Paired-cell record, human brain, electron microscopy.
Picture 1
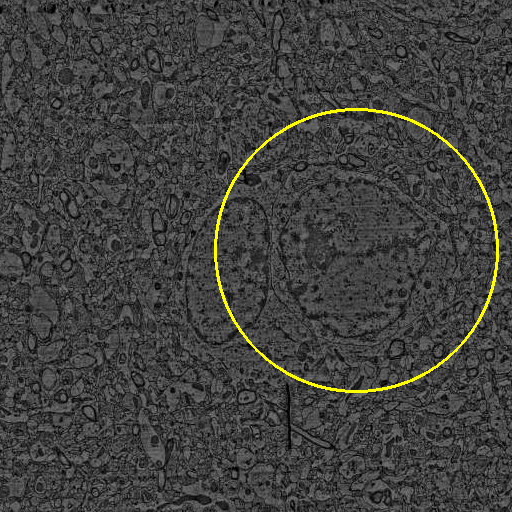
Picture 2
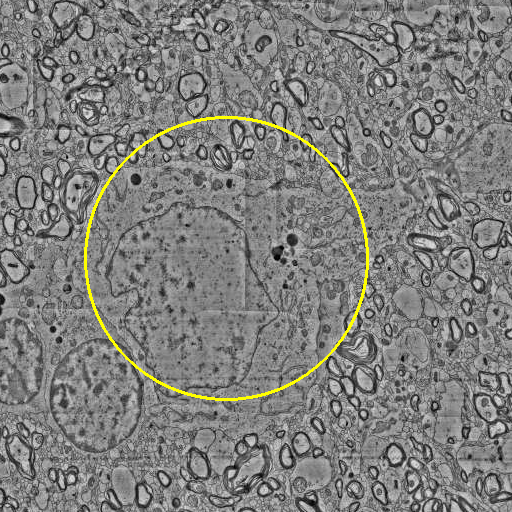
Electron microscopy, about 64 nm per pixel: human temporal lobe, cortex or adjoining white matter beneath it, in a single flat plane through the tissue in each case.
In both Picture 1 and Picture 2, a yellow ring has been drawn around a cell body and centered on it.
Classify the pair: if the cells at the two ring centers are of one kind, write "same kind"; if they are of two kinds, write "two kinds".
same kind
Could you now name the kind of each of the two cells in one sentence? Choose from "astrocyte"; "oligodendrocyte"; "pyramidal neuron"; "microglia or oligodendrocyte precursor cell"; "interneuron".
Each of the two rings surrounds an interneuron.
